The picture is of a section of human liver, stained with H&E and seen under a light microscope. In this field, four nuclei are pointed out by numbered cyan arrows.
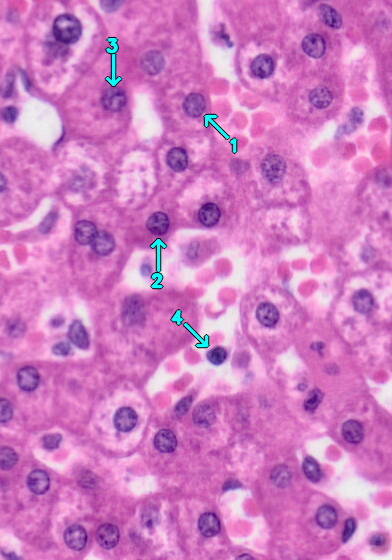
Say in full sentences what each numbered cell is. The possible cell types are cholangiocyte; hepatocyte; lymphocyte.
Cell 1 is a hepatocyte, cell 2 is a hepatocyte, cell 3 is a hepatocyte and cell 4 is a lymphocyte.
